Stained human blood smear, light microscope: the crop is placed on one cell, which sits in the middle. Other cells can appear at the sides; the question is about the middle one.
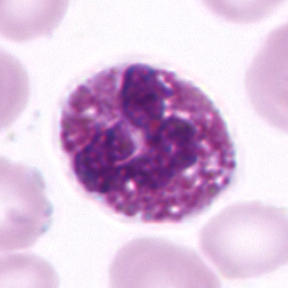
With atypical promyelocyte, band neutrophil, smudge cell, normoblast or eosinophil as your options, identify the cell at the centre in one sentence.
The cell positioned in the middle of the field is an eosinophil.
